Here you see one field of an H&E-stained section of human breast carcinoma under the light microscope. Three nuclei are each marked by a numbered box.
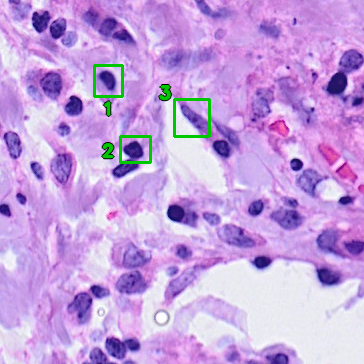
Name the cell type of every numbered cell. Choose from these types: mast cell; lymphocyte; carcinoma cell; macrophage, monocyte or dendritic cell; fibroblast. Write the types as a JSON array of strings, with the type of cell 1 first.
["lymphocyte", "lymphocyte", "fibroblast"]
